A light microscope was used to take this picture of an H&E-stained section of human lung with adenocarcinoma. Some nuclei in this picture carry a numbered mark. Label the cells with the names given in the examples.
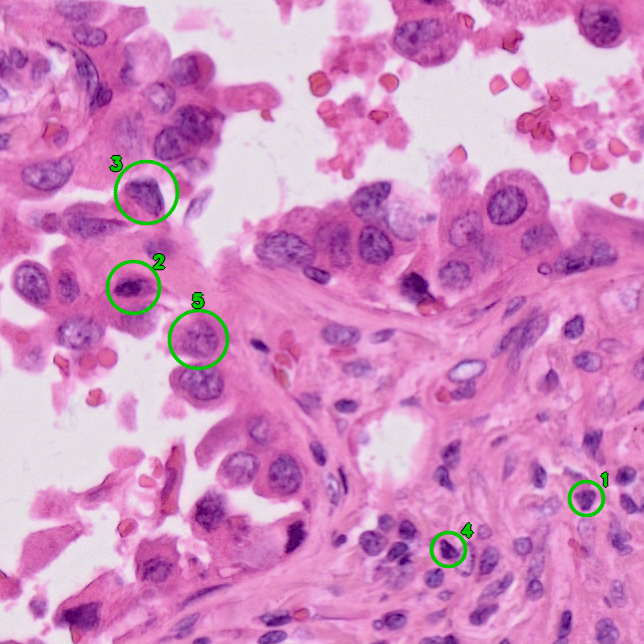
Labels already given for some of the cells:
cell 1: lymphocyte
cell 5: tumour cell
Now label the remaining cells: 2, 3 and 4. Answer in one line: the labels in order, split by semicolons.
tumour cell; tumour cell; lymphocyte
